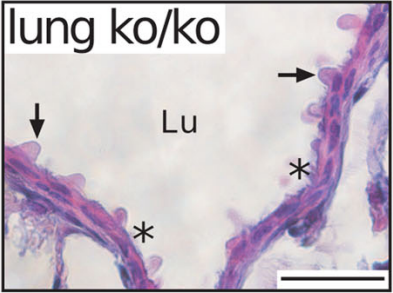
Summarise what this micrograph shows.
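This is the wall of a lung airway lined by a thin epithelial layer facing an open lumen. Scattered Club cells with rounded pink tops still protrude into the lumen, with flatter ciliated cells between them. The lining is thinner and less densely packed than a normal airway epithelium, with stretches where few cells are present.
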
